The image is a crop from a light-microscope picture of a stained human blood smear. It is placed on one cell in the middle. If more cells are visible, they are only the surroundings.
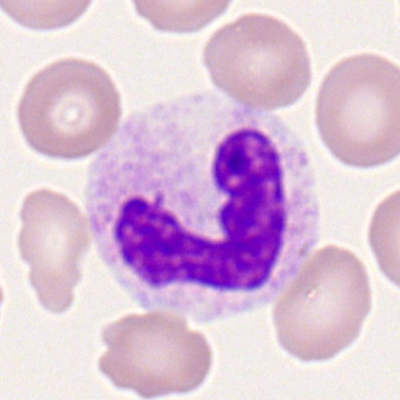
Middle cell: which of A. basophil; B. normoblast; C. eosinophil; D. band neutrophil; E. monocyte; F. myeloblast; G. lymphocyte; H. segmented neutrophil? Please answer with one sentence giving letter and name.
Option D holds up: the cell in the middle is a band neutrophil.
